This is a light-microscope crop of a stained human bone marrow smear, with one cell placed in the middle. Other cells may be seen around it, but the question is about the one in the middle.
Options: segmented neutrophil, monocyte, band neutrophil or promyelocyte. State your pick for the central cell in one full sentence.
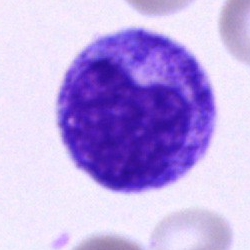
Centred in the crop is a promyelocyte.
